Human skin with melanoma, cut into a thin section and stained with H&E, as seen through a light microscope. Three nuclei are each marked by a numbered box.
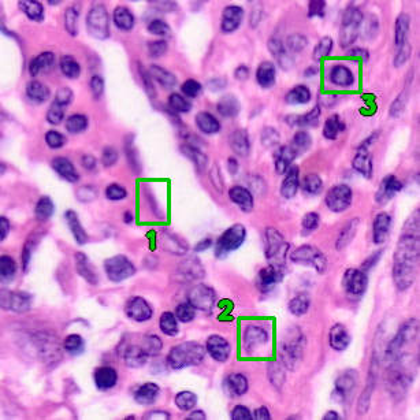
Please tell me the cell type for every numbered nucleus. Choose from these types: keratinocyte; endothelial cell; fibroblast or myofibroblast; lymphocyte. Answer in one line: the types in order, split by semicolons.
endothelial cell; endothelial cell; lymphocyte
